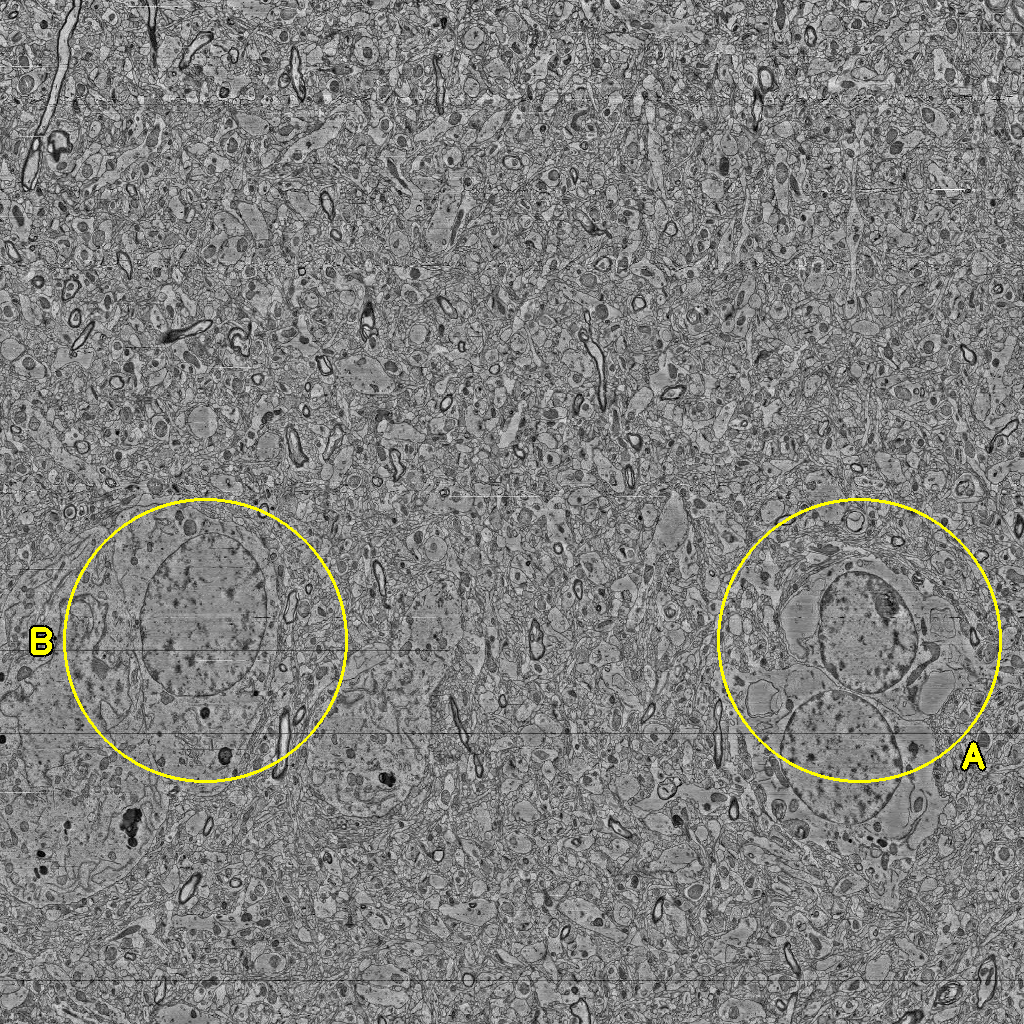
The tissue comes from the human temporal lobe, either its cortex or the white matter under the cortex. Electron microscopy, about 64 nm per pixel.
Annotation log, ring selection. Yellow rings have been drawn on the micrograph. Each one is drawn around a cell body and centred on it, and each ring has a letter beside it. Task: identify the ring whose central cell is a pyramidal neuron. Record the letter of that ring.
B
